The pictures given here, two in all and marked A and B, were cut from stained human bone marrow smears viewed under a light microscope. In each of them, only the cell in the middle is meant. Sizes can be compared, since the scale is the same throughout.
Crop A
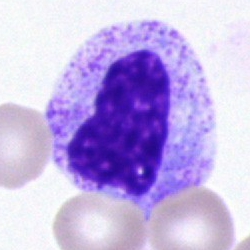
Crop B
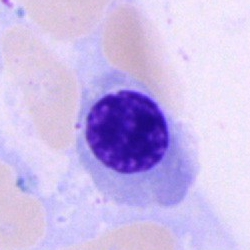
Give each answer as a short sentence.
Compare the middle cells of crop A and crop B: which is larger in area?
The cell in crop A is larger, with about 2 times the area of the one in crop B.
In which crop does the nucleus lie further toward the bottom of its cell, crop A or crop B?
It is the nucleus in crop A that lies further toward the bottom of its cell.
